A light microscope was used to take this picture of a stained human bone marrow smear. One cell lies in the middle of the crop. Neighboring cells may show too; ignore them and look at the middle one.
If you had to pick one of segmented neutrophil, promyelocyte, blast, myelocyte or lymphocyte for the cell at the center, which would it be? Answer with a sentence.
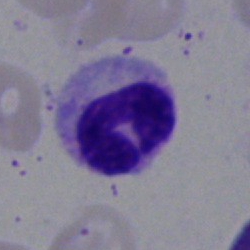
The cell the crop is centered on is a segmented neutrophil.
